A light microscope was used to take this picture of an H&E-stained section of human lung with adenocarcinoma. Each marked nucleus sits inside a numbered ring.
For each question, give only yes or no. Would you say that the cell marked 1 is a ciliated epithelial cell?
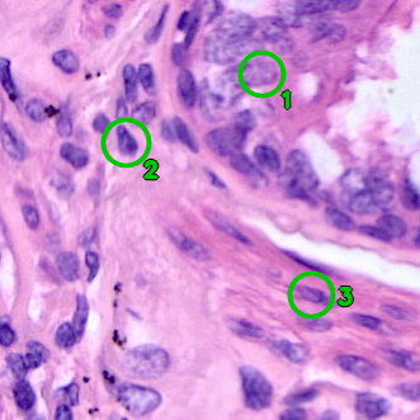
yes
